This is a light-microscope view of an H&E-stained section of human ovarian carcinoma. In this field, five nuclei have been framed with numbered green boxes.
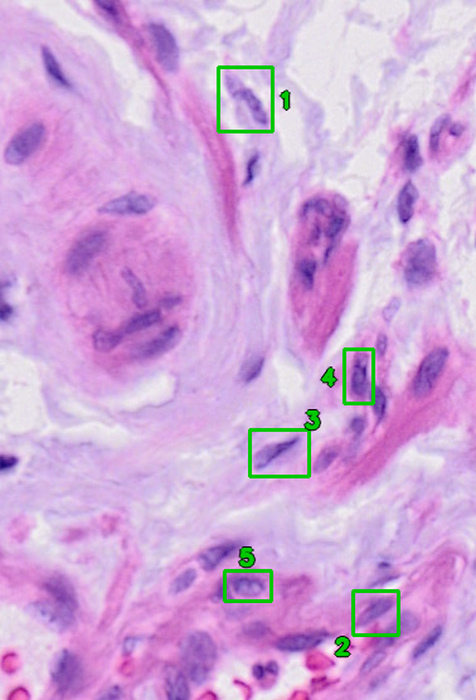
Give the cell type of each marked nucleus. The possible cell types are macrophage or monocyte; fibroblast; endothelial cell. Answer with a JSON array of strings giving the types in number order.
["fibroblast", "endothelial cell", "fibroblast", "endothelial cell", "endothelial cell"]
